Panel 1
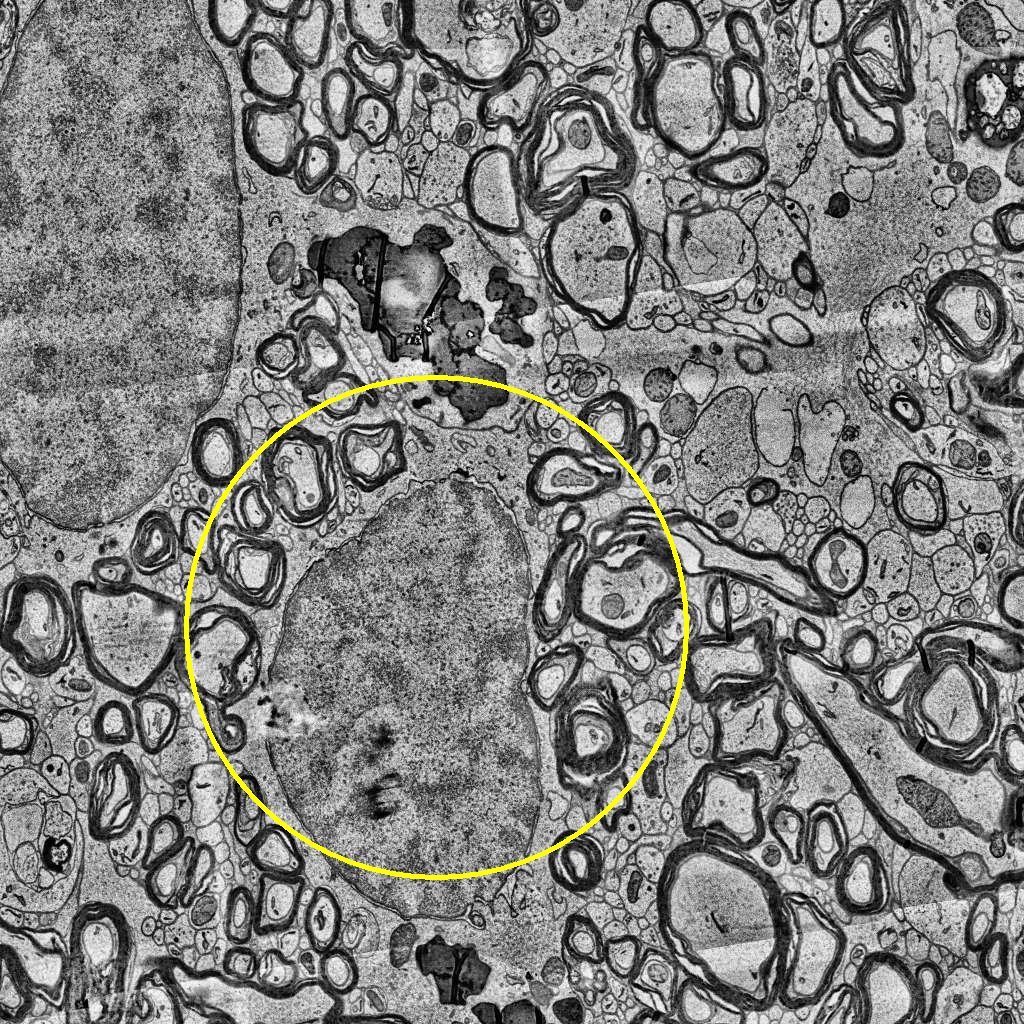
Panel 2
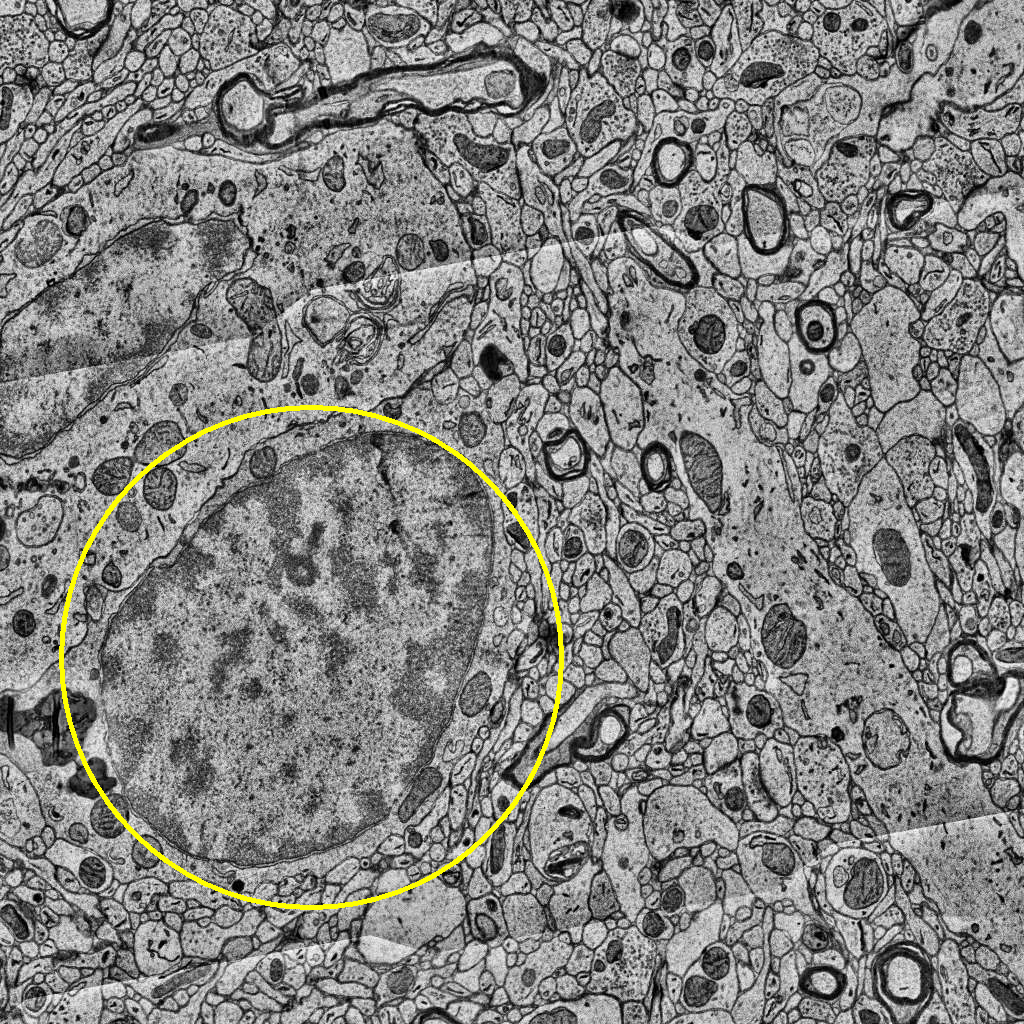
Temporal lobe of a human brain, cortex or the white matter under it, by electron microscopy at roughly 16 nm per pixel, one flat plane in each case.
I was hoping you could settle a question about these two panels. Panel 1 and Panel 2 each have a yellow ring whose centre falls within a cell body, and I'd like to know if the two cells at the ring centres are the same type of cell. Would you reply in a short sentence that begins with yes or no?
Yes, both are the same type of cell.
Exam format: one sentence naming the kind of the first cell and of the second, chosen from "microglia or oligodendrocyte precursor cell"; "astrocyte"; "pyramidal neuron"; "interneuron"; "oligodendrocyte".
The cell at the ring centre is an oligodendrocyte in both pictures.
